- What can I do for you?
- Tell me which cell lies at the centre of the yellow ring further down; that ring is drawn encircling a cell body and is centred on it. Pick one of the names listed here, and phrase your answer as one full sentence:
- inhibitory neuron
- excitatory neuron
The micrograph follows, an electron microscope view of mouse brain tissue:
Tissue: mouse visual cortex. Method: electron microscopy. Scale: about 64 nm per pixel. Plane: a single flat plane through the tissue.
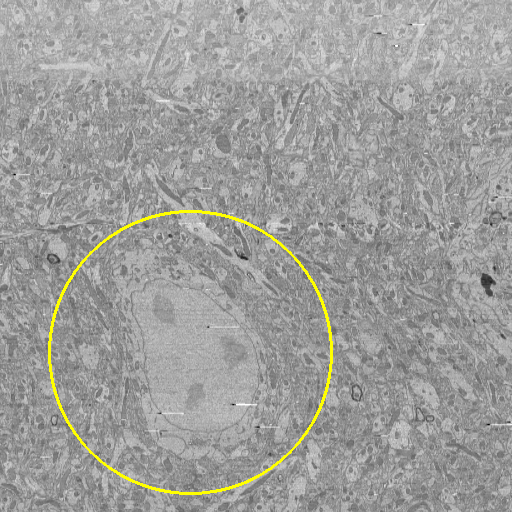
The cell whose body lies at the centre of the yellow ring is an excitatory neuron.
